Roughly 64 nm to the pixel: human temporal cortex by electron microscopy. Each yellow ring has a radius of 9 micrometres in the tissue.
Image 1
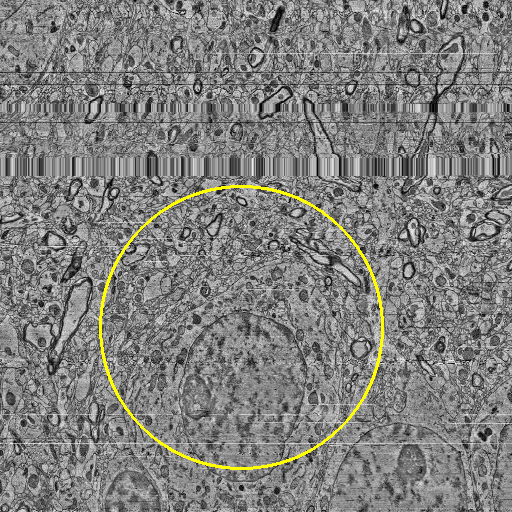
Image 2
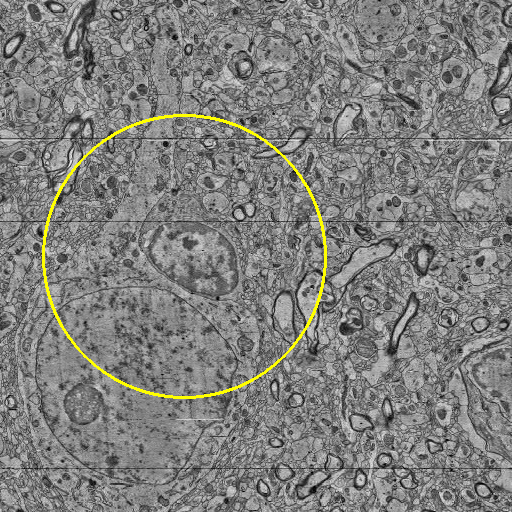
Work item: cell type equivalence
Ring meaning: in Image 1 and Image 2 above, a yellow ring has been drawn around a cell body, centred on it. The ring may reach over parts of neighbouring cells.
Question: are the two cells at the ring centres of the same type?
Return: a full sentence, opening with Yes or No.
No, the two centred cells are of two types.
